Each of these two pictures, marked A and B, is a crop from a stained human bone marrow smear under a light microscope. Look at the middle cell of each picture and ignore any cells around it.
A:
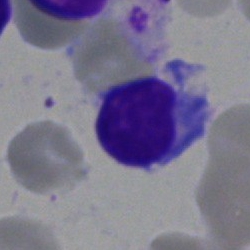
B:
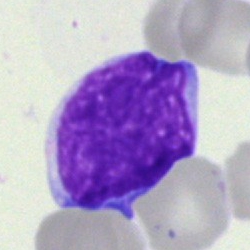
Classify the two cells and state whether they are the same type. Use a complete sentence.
No, a lymphocyte is centred in crop A, and a blast is centred in crop B.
